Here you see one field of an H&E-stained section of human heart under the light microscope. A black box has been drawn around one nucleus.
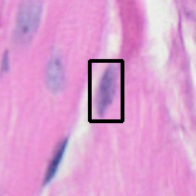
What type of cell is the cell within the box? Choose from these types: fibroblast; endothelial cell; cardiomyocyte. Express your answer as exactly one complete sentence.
By cell type, the cell within the box is a fibroblast.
